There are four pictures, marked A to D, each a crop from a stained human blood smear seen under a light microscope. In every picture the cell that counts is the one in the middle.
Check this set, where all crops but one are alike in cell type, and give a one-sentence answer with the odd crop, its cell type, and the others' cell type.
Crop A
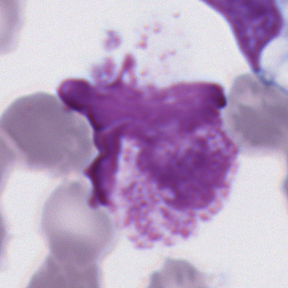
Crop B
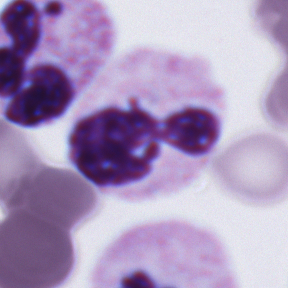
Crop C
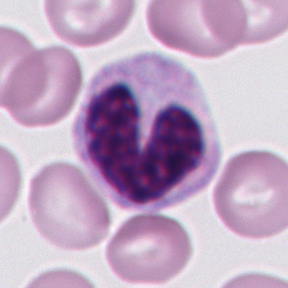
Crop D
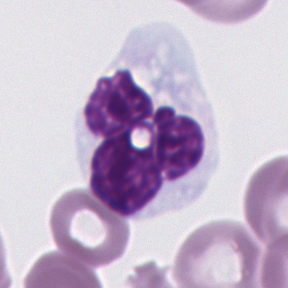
The different crop is C; it is a band neutrophil, and the others all show segmented neutrophils.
